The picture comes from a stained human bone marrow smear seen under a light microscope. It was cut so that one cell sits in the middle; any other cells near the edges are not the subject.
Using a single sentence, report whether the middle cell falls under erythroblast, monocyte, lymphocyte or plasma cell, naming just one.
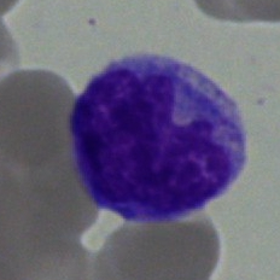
Centred in the crop is a monocyte.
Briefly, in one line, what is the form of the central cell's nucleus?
A single compact nucleus, round, oval or kidney-shaped, is what this cell shows.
